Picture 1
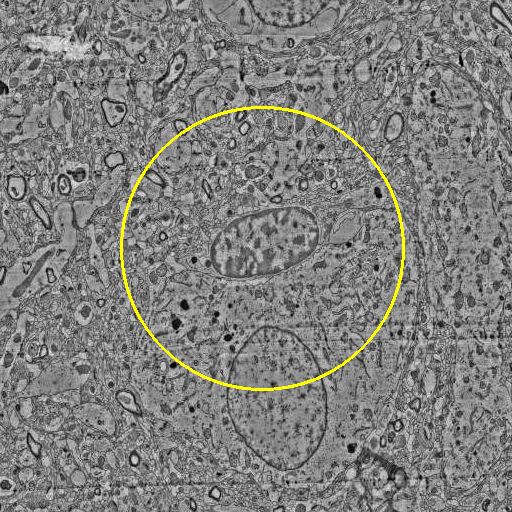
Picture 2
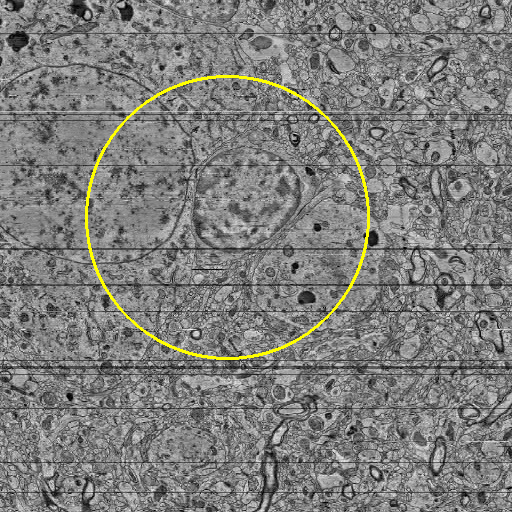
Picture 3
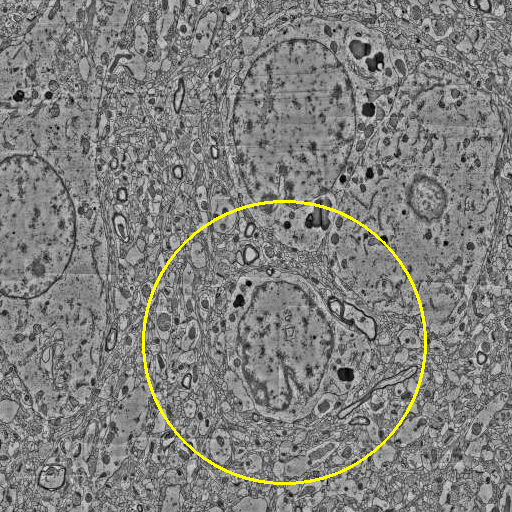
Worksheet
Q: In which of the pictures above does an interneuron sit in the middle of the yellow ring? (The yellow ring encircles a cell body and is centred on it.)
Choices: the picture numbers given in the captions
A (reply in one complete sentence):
In picture 3, the cell sitting at the centre of the ring is the match.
